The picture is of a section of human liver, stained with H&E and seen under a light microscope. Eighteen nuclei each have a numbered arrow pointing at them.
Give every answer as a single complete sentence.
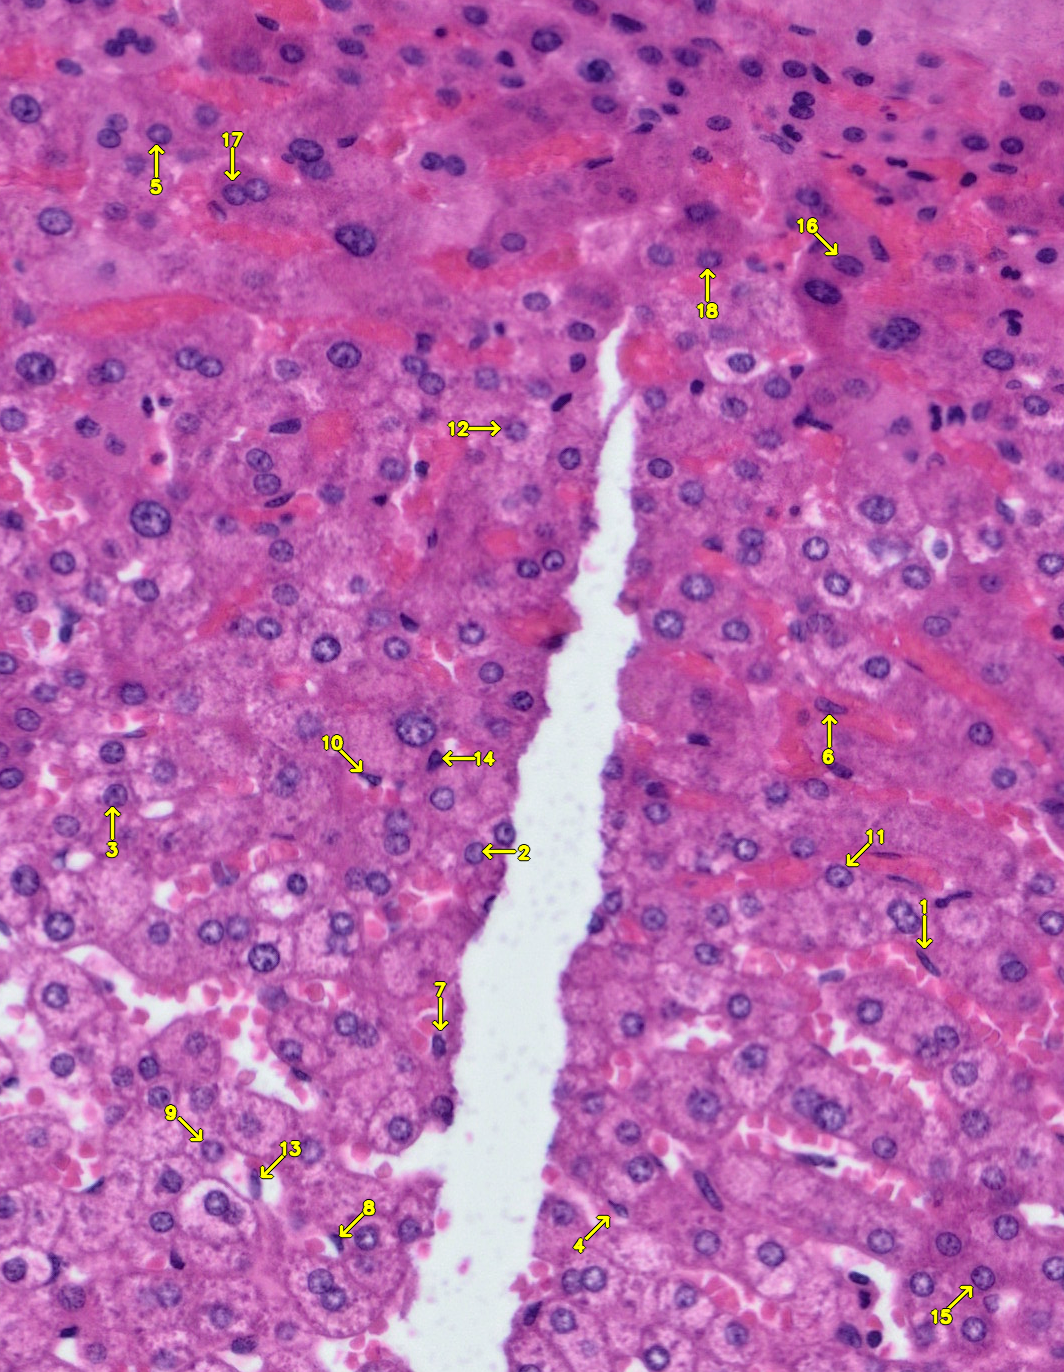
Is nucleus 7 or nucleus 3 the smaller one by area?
Nucleus 7 covers less area, with nucleus 3 about 1.5 times as large.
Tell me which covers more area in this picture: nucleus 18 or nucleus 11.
Nucleus 11 is the larger one, covering about 1.5 times the area of nucleus 18.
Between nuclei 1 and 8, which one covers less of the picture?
Nucleus 8 covers less area, with nucleus 1 about 1.5 times as large.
